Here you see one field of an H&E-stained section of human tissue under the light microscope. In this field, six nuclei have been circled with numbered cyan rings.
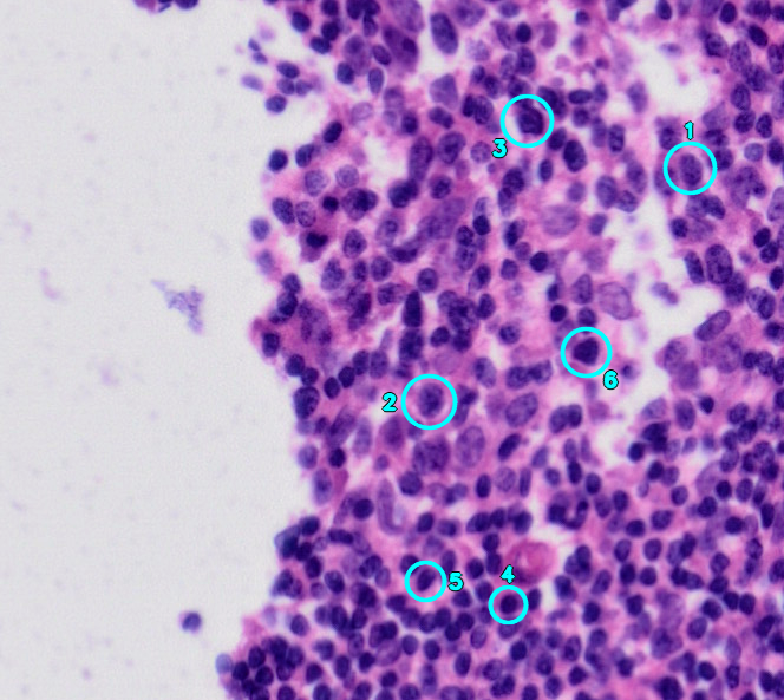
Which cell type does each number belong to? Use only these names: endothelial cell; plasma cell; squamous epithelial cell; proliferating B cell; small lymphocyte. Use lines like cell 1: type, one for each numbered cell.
cell 1: proliferating B cell
cell 2: proliferating B cell
cell 3: proliferating B cell
cell 4: small lymphocyte
cell 5: small lymphocyte
cell 6: proliferating B cell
